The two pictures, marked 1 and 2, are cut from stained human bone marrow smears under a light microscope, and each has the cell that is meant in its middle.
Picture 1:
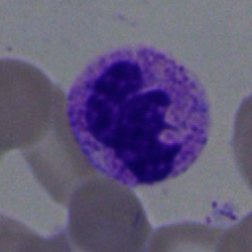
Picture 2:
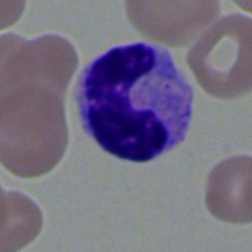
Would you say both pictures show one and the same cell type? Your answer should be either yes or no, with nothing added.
yes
